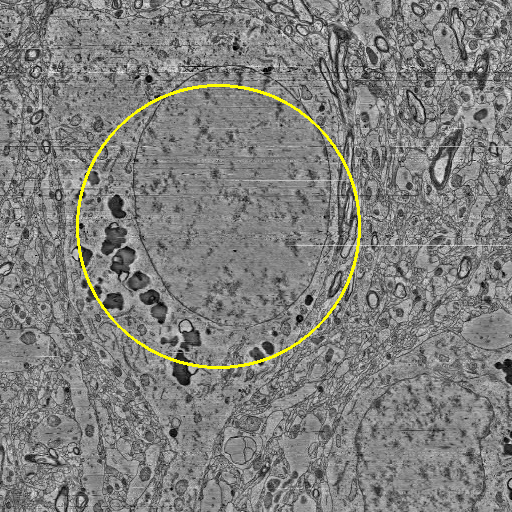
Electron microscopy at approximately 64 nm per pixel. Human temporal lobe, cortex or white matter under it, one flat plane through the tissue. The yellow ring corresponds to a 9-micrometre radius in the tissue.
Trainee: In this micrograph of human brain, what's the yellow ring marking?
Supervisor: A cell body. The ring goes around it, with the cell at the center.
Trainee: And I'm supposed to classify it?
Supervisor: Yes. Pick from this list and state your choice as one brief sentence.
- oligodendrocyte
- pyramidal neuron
The cell at the ring's center is a pyramidal neuron.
